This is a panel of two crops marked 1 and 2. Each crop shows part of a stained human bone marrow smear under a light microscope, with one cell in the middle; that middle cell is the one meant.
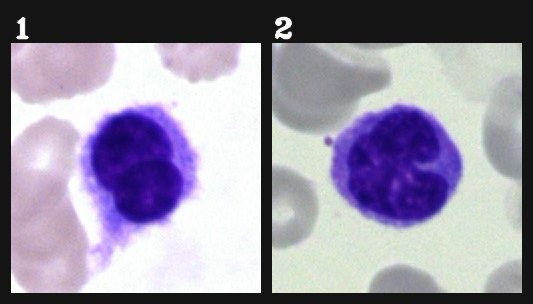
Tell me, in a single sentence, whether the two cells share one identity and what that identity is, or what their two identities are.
No, crop 1 presents a hairy cell, whereas crop 2 presents a monocyte.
